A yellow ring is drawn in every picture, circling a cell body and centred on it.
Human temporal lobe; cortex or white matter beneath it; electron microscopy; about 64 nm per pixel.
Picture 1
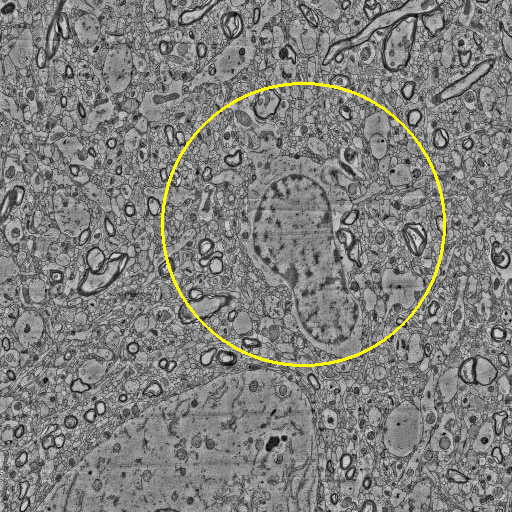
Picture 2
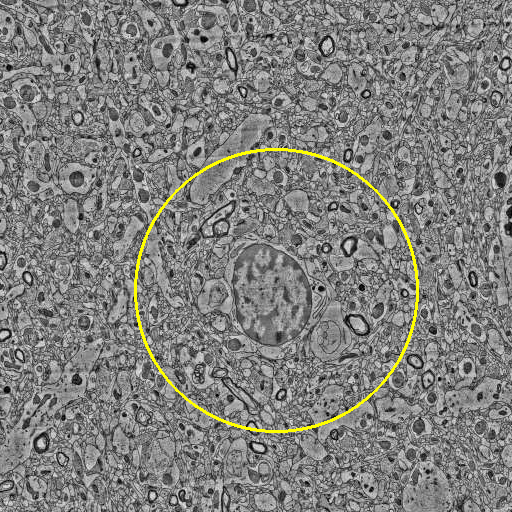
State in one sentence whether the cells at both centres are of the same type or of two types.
The cells at the two ring centres, one per picture, are of the same type.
